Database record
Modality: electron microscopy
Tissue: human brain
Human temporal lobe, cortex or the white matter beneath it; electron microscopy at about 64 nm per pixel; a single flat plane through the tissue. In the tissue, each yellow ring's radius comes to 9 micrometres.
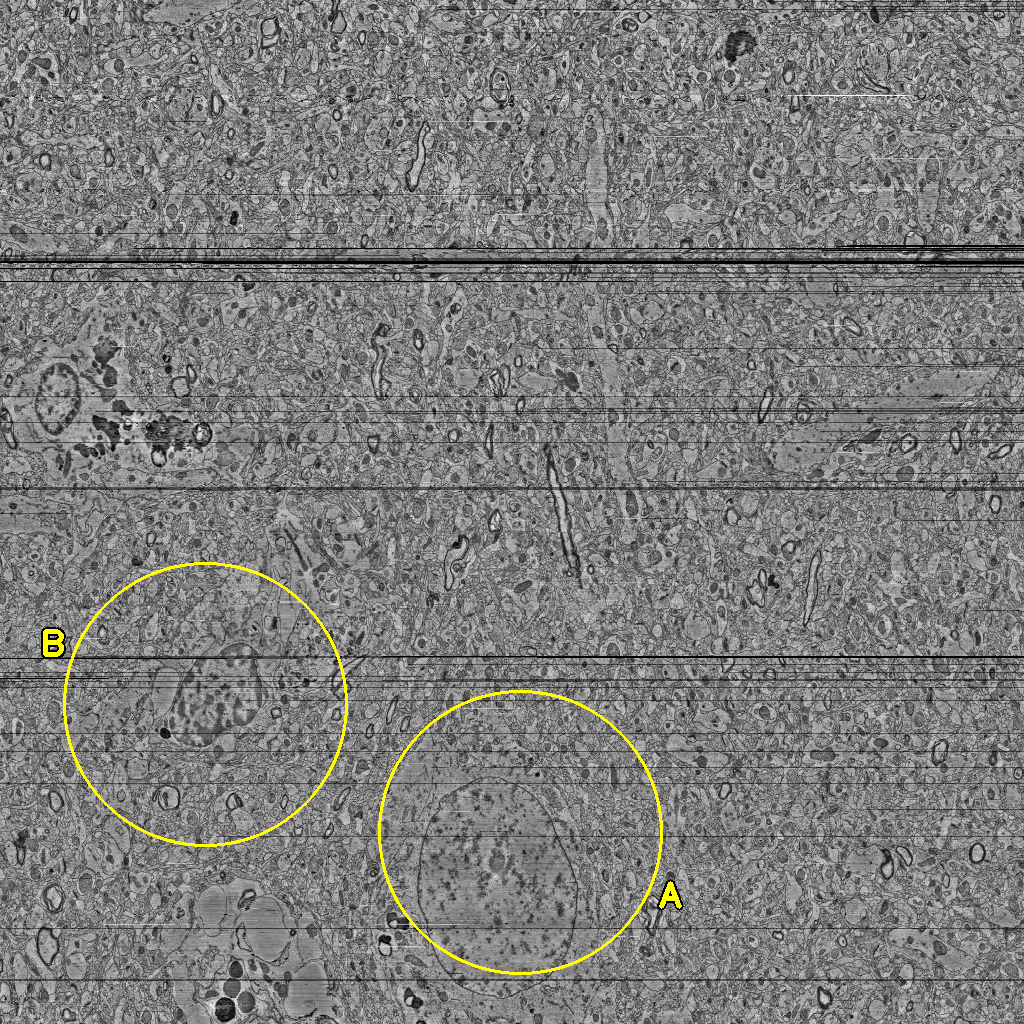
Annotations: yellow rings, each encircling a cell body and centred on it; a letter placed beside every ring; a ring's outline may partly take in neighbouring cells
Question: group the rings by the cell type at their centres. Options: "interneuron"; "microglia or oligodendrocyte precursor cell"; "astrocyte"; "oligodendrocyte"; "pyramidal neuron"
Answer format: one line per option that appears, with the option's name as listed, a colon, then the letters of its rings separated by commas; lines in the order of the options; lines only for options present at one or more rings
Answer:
microglia or oligodendrocyte precursor cell: B
pyramidal neuron: A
